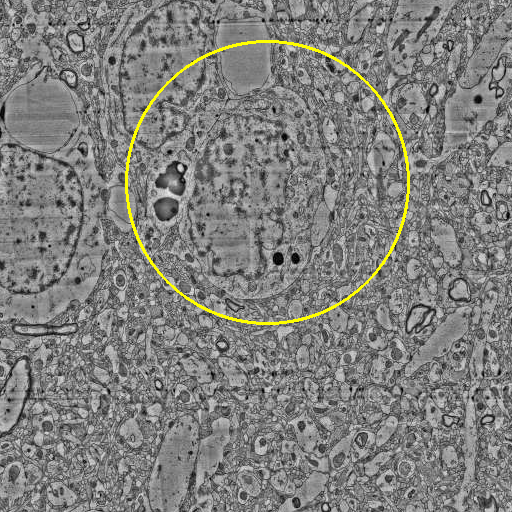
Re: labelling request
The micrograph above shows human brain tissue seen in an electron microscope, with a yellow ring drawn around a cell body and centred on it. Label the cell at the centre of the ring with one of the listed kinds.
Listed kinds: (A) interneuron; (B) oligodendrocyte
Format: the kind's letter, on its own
A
